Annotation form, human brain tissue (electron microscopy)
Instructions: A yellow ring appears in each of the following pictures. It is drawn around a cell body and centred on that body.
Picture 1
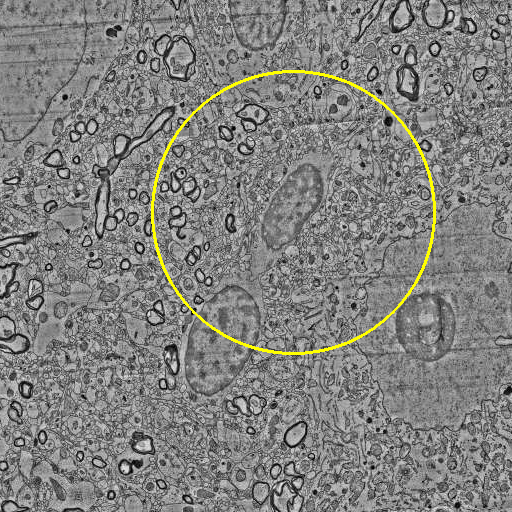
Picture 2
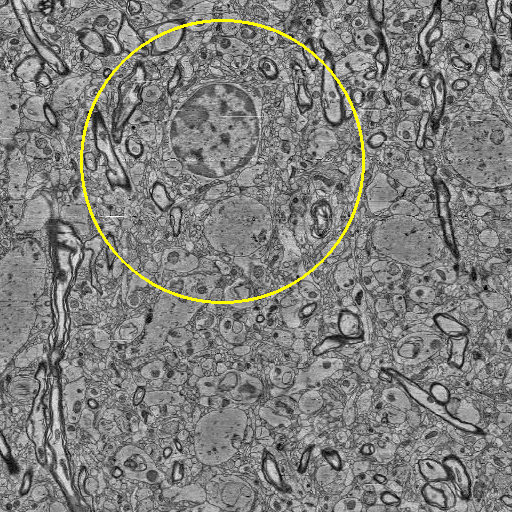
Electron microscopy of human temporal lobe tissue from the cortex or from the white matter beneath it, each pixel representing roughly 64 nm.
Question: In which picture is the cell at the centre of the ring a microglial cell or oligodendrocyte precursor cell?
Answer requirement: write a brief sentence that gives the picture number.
The cell at the centre of the ring in Picture 2 is the one asked for.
